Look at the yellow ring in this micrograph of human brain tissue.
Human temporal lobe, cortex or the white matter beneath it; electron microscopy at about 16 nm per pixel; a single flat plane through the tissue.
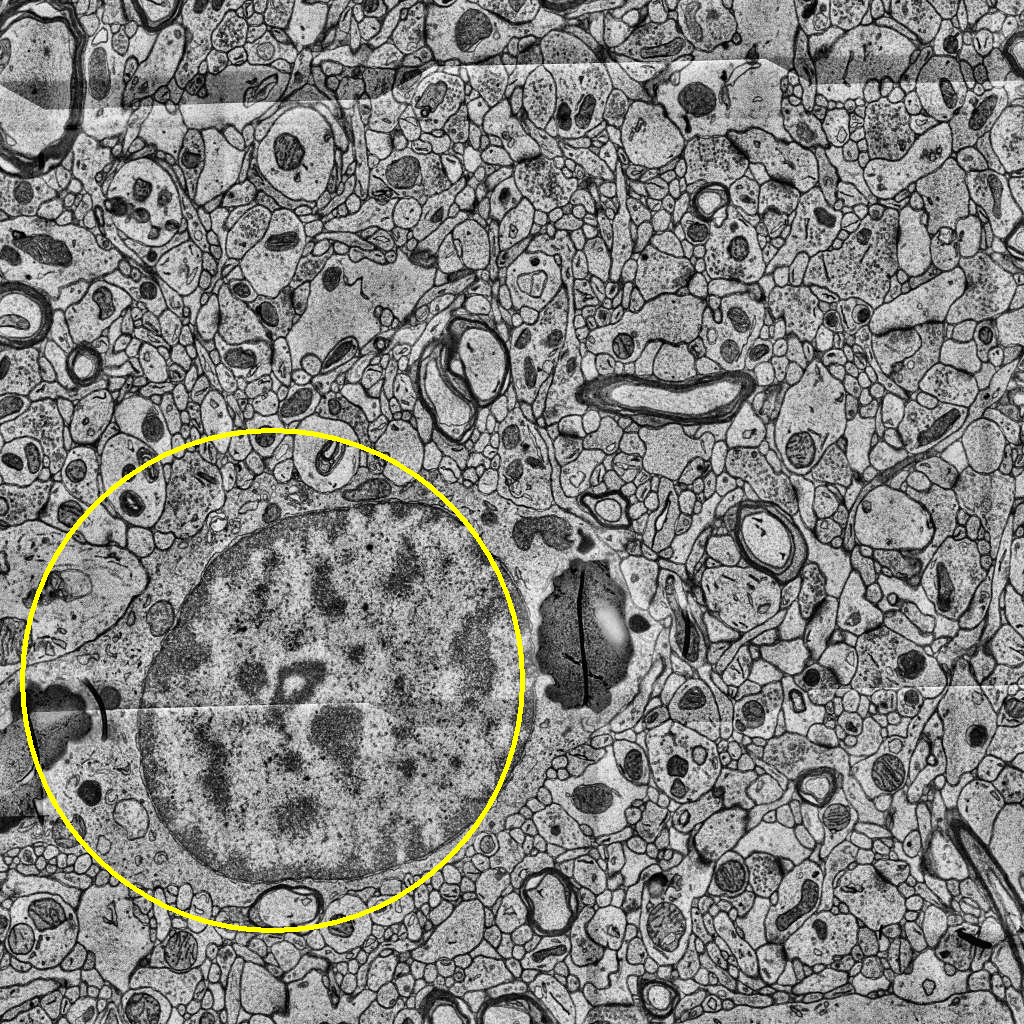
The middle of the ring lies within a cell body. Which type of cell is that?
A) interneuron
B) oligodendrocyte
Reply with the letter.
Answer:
B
